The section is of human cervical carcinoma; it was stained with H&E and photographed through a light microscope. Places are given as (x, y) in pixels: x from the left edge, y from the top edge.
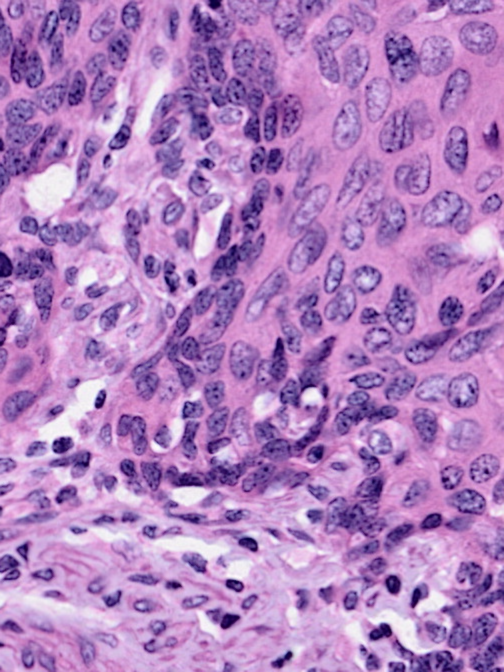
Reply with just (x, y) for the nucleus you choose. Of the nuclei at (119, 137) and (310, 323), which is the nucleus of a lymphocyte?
(119, 137)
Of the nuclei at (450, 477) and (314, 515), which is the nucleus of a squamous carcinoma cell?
(450, 477)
